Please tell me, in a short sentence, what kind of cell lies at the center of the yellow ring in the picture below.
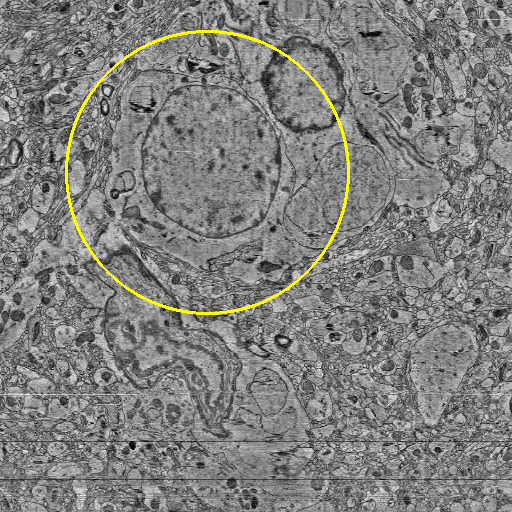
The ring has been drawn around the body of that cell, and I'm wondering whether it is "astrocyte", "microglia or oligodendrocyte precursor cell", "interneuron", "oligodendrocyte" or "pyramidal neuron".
The cell at the center of the ring is an astrocyte.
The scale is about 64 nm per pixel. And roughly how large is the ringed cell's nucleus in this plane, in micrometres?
In this plane, the nucleus of the cell at the centre of the ring is about 10 micrometres across.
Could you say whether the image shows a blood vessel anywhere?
Yes.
